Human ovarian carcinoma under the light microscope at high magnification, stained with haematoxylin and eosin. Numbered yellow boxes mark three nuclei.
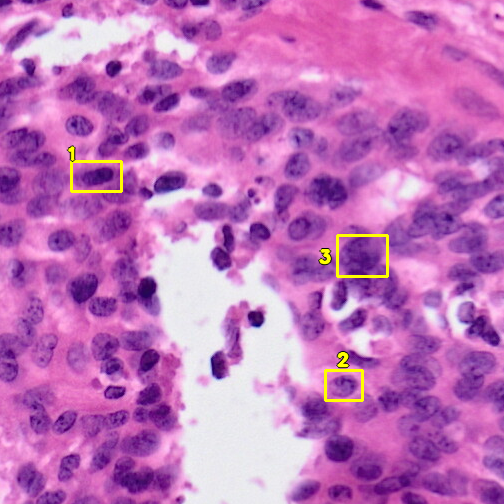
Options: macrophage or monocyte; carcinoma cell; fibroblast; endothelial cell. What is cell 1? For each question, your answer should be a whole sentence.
The nucleus labeled 1 belongs to a carcinoma cell.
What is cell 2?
The cell pointed out by number 2 is a macrophage or monocyte.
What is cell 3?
The one labeled 3 is a carcinoma cell, to put it simply.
